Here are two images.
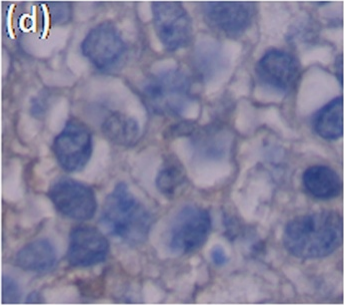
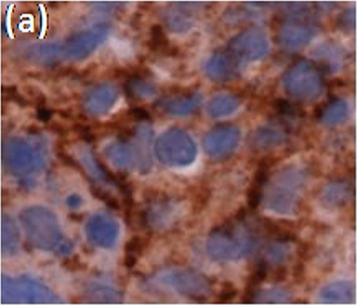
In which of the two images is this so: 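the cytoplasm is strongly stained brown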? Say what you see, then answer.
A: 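The second image. First image: blue nuclei with pale, unstained cytoplasm and no brown deposits. Second image: dense brown granular staining fills the space around blue nuclei.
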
